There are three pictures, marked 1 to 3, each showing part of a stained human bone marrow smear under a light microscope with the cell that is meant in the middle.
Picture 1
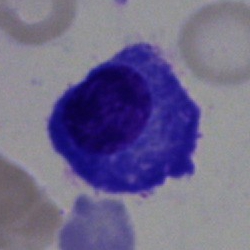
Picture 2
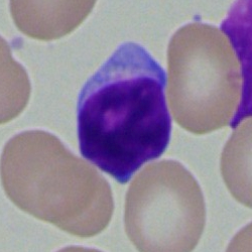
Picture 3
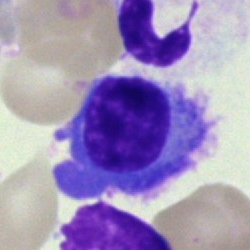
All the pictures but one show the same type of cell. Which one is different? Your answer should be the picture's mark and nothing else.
2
